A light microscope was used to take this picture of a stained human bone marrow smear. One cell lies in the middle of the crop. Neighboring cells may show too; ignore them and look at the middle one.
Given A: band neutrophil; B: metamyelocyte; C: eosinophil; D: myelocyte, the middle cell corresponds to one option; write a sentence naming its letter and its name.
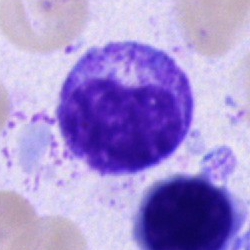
The middle of the crop holds a myelocyte, which points to option D.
